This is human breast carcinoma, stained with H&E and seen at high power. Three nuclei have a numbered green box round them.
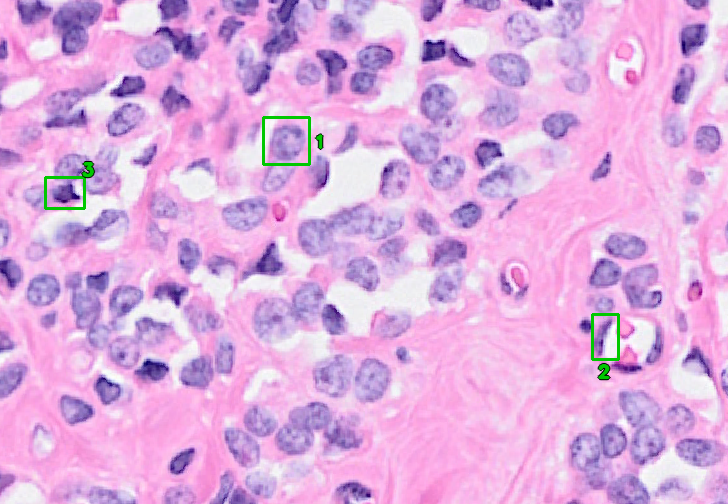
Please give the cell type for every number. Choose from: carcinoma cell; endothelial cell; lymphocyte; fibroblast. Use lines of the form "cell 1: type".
cell 1: carcinoma cell
cell 2: endothelial cell
cell 3: carcinoma cell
